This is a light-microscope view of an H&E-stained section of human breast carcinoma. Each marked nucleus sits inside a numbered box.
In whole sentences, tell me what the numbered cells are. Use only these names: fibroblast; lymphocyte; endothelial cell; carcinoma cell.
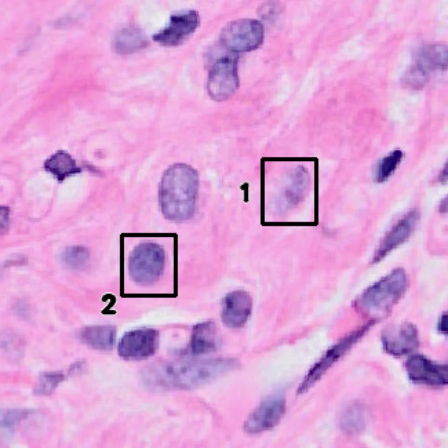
Cell 1 is a fibroblast. Cell 2 is a carcinoma cell.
